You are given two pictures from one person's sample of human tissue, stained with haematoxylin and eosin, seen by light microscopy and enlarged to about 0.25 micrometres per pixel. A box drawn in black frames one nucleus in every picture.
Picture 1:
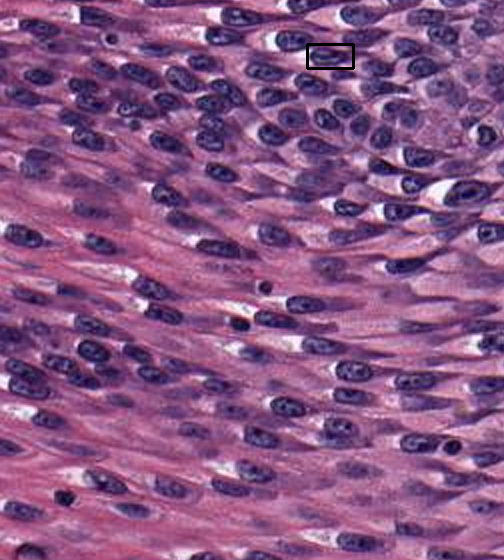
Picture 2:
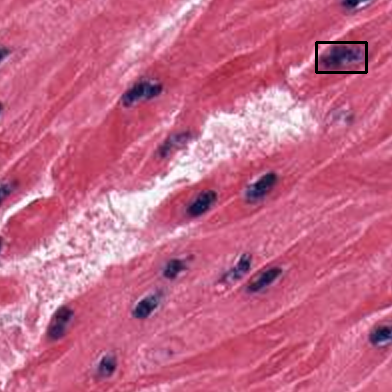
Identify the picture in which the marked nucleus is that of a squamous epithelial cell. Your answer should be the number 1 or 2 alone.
1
